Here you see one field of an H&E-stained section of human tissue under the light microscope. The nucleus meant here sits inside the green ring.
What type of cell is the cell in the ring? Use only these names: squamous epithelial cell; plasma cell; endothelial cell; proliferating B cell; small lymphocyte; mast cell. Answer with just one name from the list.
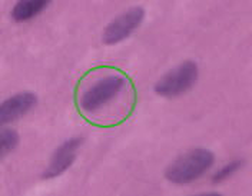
squamous epithelial cell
